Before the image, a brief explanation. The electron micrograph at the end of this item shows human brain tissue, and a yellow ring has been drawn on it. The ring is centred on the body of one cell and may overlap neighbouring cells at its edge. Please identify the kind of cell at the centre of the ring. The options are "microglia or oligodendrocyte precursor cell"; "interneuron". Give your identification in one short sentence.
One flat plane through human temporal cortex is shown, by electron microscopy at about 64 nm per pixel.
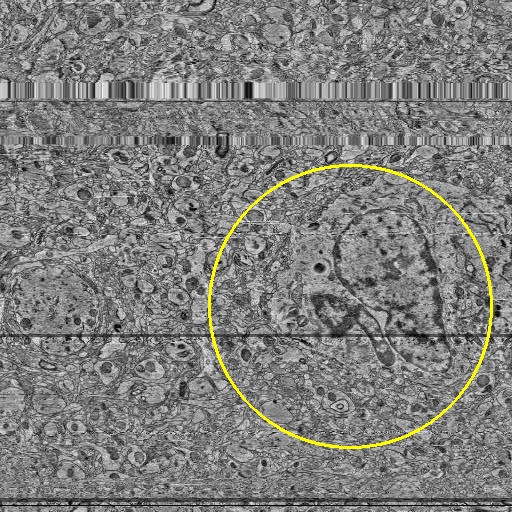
The ring has been placed around a microglial cell or oligodendrocyte precursor cell.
